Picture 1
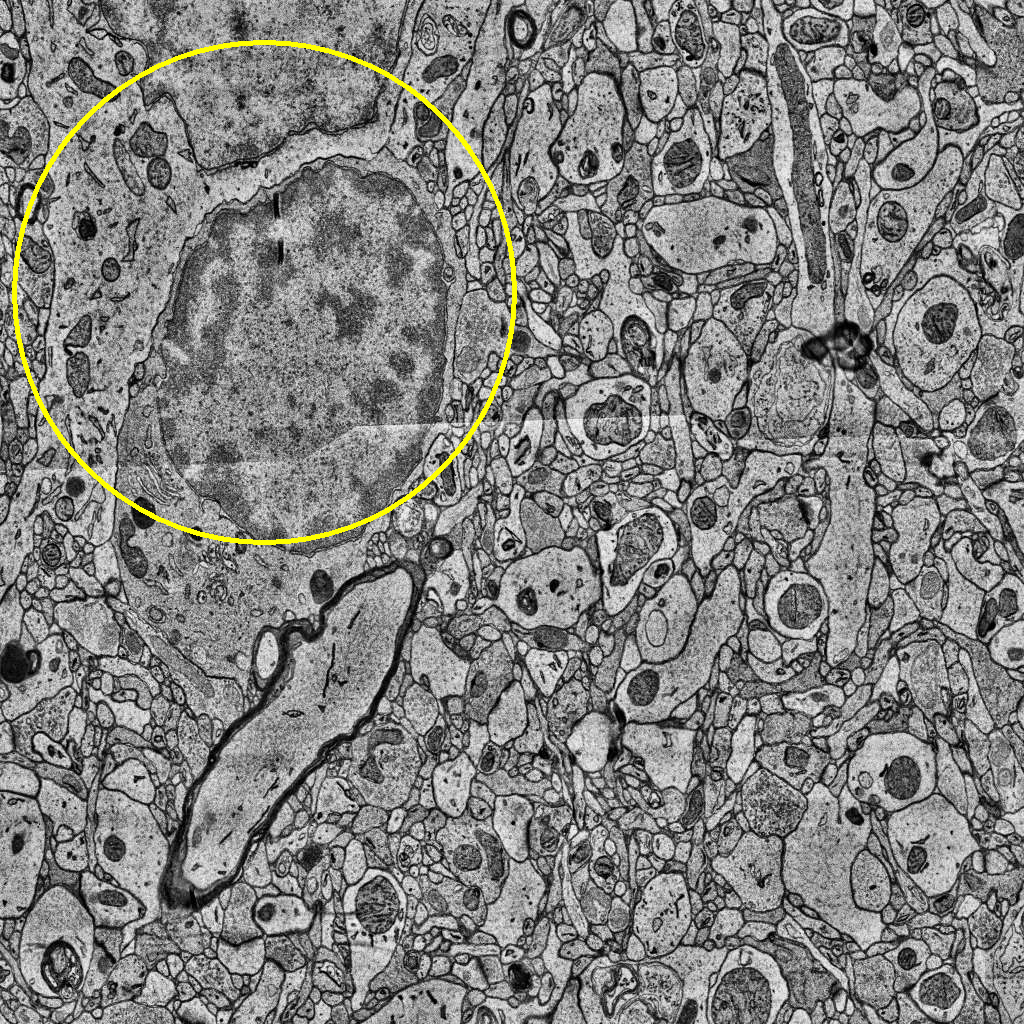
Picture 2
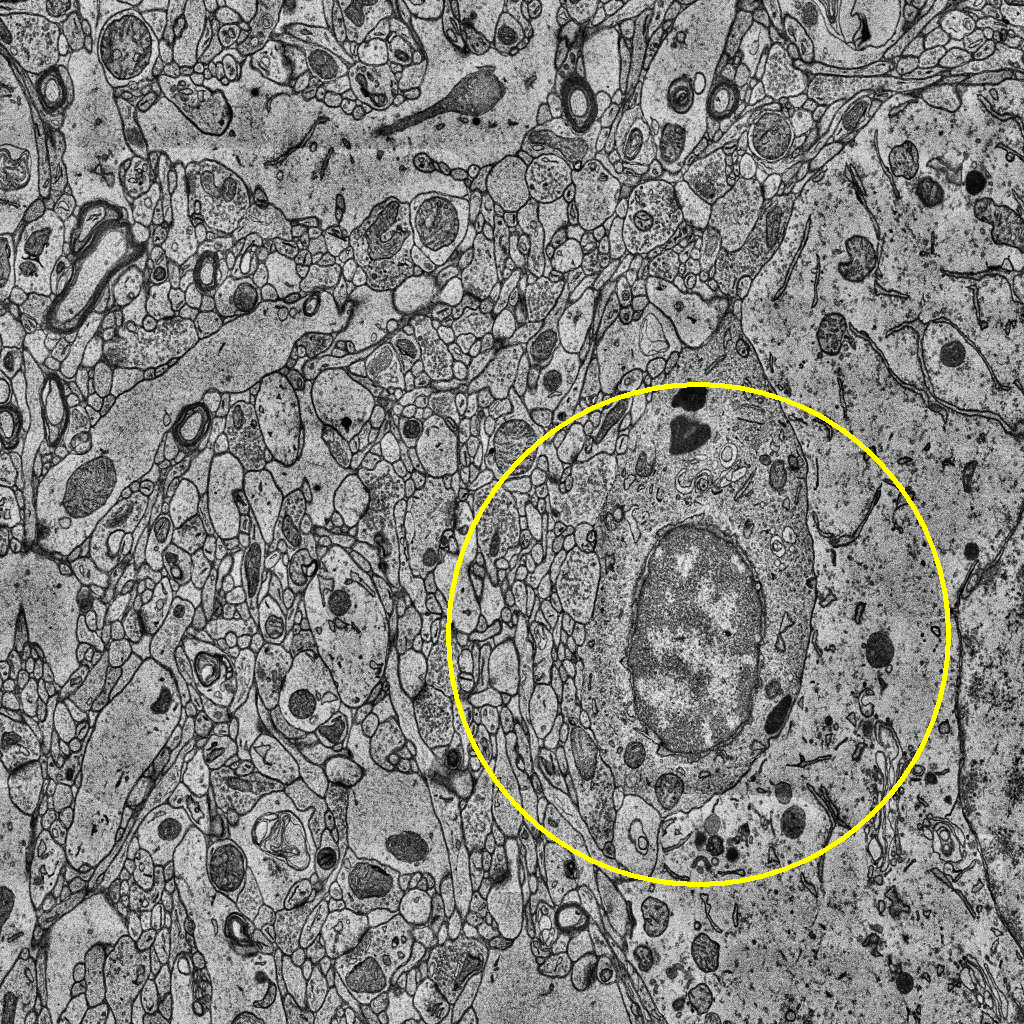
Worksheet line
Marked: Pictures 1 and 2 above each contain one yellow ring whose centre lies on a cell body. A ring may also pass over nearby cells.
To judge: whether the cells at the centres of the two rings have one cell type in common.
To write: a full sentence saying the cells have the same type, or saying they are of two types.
The cells at the centres of the rings in Picture 1 and Picture 2 have the same type.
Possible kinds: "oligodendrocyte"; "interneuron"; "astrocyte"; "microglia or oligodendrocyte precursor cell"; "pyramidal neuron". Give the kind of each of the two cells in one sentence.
The cell at the ring centre is an oligodendrocyte in both pictures.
